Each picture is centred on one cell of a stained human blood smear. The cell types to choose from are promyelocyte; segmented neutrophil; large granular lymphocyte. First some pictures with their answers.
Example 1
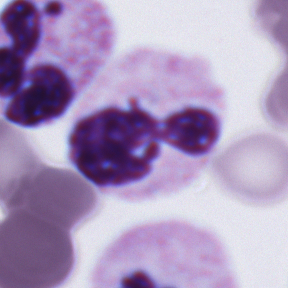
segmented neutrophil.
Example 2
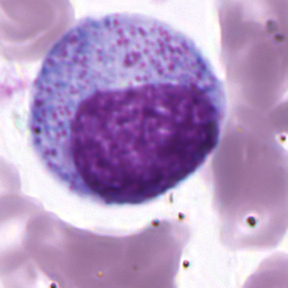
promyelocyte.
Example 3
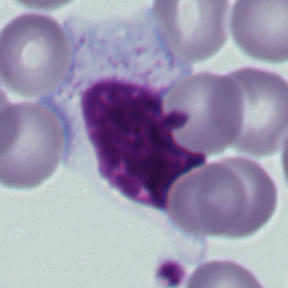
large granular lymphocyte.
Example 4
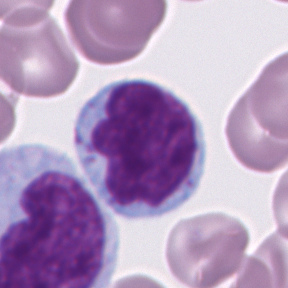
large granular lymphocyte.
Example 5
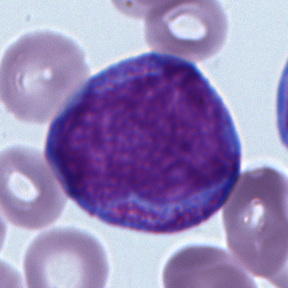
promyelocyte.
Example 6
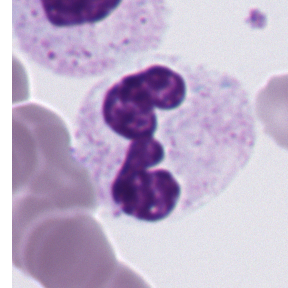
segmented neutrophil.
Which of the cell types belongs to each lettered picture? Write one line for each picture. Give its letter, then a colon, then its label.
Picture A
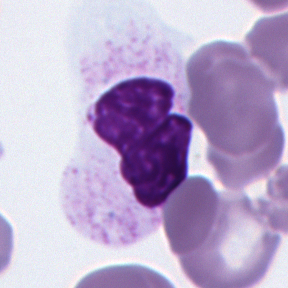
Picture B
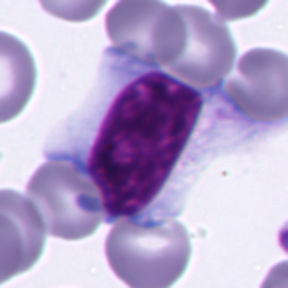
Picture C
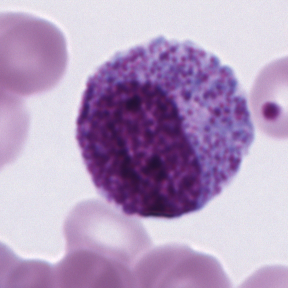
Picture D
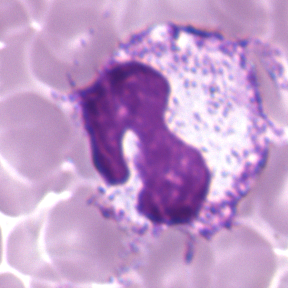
A: segmented neutrophil.
B: large granular lymphocyte.
C: promyelocyte.
D: segmented neutrophil.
